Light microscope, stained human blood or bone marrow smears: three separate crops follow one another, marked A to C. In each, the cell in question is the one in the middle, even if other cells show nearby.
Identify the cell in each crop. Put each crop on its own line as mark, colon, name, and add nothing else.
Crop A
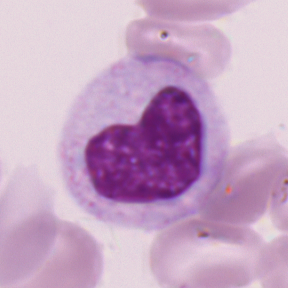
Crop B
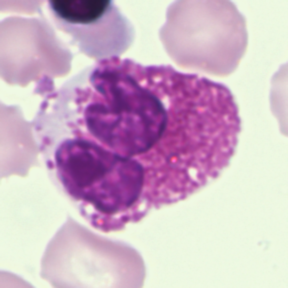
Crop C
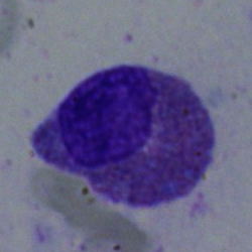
A: metamyelocyte
B: eosinophil
C: eosinophil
